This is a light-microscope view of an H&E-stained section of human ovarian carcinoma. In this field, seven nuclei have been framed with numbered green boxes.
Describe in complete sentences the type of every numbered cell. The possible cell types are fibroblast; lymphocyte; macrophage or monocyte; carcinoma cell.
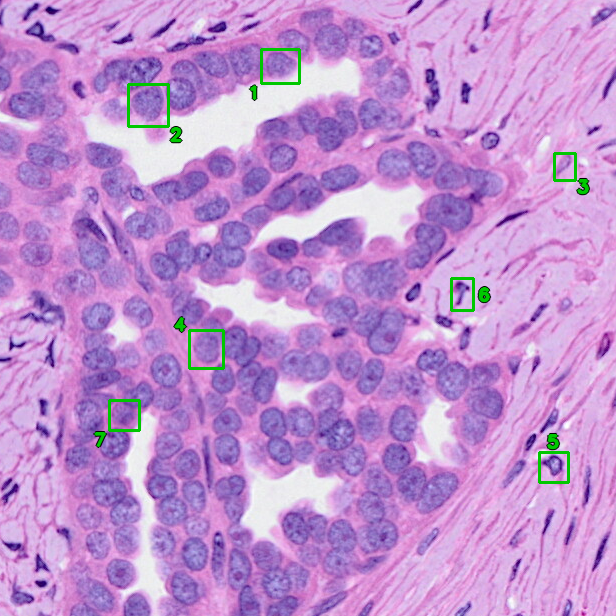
Cells 1, 2, 4 and 7 are carcinoma cells. Cells 3, 5 and 6 are fibroblasts.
